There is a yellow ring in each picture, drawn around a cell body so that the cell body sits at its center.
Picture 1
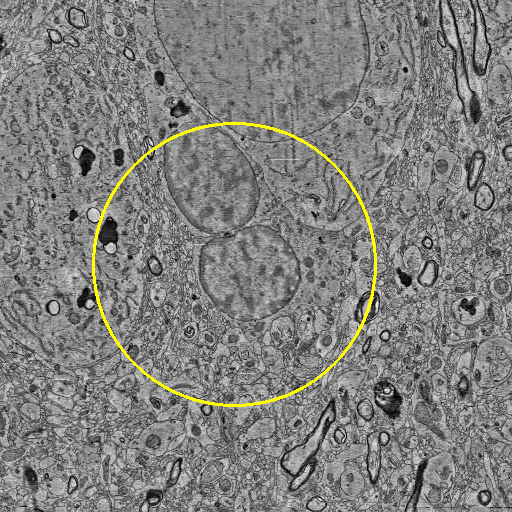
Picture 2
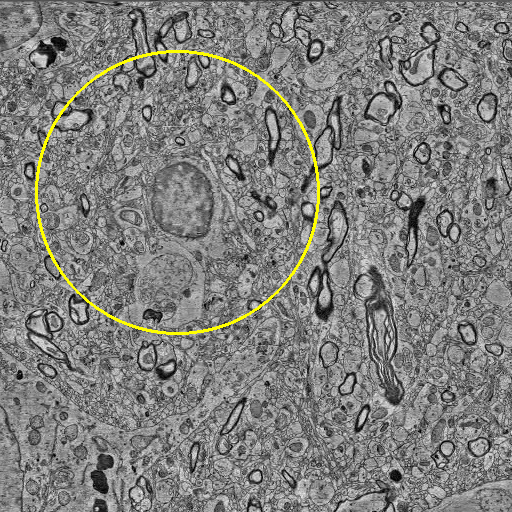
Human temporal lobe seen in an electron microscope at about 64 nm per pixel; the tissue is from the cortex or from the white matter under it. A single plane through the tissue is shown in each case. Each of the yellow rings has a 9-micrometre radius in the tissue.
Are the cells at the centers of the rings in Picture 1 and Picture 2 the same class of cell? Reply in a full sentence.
Yes, the two cells are the same class of cell.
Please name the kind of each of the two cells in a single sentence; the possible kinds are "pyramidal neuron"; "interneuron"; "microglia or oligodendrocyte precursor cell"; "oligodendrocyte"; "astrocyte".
The cell at the ring centre is an oligodendrocyte in both pictures.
